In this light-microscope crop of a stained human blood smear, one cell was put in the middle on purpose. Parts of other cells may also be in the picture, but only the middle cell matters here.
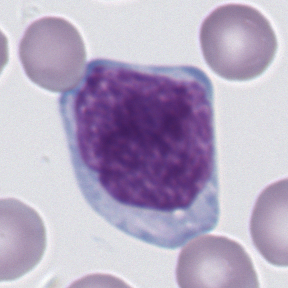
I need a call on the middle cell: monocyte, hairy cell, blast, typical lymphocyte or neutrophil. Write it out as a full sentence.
To answer, the cell in the center of the crop is a blast.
